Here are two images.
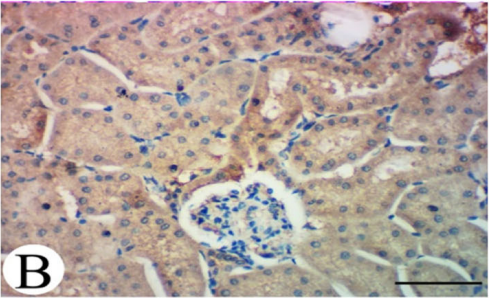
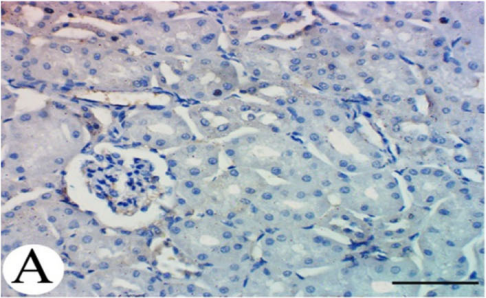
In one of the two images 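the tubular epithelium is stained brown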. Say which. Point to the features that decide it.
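Second image: tubules are pale blue-grey with no brown in their cytoplasm. First image: tubular cells have brown cytoplasm throughout the field.
Hence: the first image.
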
